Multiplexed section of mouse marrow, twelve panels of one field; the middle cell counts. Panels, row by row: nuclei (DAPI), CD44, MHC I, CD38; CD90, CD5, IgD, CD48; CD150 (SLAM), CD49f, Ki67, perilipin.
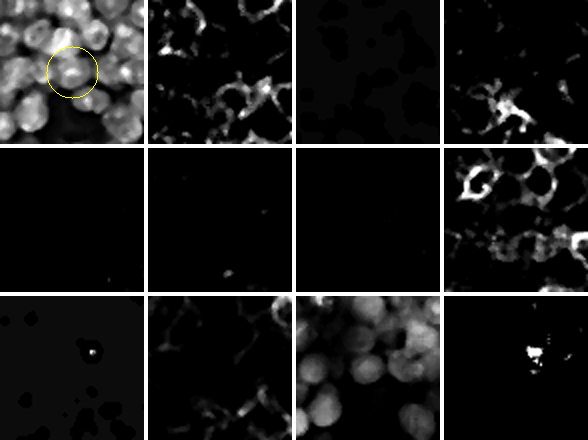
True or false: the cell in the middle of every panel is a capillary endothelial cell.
False; it is an erythroblast.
